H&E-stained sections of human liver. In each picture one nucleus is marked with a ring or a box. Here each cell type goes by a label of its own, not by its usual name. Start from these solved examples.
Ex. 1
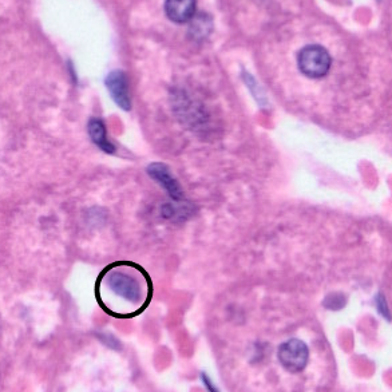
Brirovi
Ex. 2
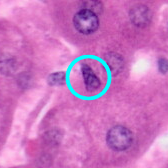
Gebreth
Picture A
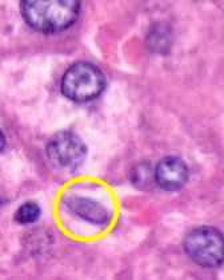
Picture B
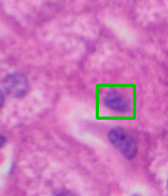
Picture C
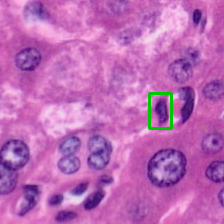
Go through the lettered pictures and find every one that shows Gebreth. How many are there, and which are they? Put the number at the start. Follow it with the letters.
2, namely B, C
